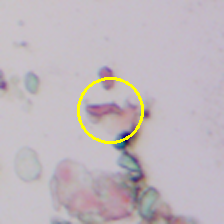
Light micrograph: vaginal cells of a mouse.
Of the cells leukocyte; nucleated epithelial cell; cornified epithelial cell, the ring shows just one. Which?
The ring shows a cornified epithelial cell.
